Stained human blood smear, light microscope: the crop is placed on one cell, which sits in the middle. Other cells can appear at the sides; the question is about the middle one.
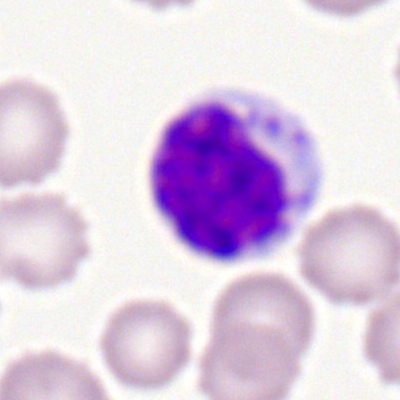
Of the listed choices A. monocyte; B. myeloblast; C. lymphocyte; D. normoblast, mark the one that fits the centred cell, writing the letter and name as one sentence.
Option C is to be chosen, as the central cell is a lymphocyte.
